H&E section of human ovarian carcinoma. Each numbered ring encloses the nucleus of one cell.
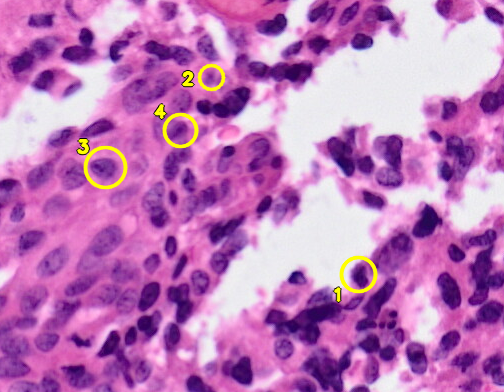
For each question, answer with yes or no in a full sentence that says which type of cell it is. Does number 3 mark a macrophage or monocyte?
Yes, the cell with the number 3 is a macrophage or monocyte.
